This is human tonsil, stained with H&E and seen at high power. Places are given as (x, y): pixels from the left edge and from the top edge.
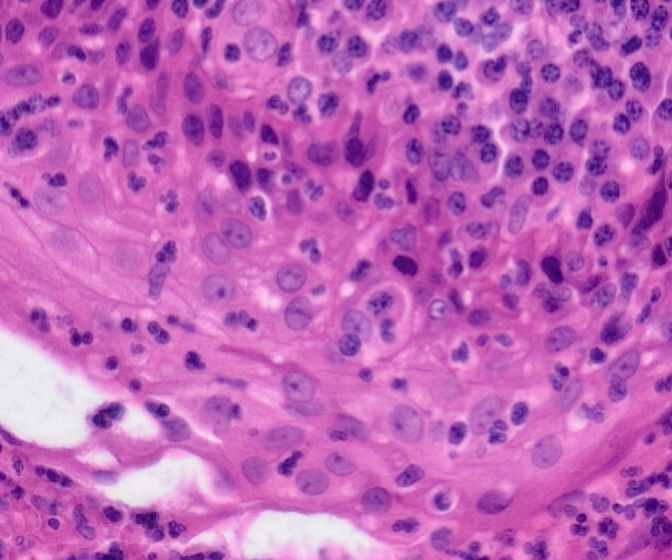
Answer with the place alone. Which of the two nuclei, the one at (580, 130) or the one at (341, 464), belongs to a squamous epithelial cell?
(341, 464)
